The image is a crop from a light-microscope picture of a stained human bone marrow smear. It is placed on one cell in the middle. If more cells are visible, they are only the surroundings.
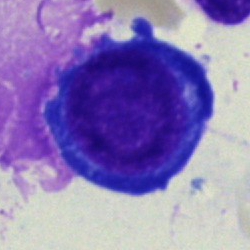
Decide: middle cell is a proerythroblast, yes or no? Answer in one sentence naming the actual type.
Yes, the cell placed centrally within the crop is a proerythroblast.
